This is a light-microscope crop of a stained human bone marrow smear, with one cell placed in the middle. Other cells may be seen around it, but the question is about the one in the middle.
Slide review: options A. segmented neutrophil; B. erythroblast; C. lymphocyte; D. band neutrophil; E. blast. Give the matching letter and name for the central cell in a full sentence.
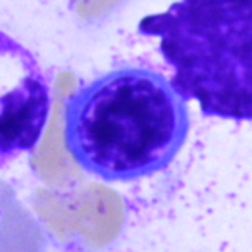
The cell in the middle is an erythroblast, and so option B is correct.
